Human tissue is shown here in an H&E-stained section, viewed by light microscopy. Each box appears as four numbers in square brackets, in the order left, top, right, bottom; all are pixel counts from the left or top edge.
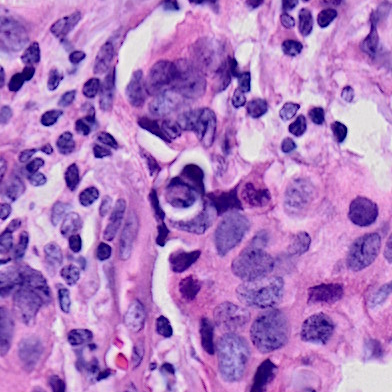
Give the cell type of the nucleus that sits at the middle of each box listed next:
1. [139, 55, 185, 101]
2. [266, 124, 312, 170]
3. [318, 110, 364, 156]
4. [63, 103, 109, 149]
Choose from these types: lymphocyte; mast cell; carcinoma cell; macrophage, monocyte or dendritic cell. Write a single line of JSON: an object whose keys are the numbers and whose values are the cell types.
{"1": "carcinoma cell", "2": "lymphocyte", "3": "lymphocyte", "4": "lymphocyte"}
